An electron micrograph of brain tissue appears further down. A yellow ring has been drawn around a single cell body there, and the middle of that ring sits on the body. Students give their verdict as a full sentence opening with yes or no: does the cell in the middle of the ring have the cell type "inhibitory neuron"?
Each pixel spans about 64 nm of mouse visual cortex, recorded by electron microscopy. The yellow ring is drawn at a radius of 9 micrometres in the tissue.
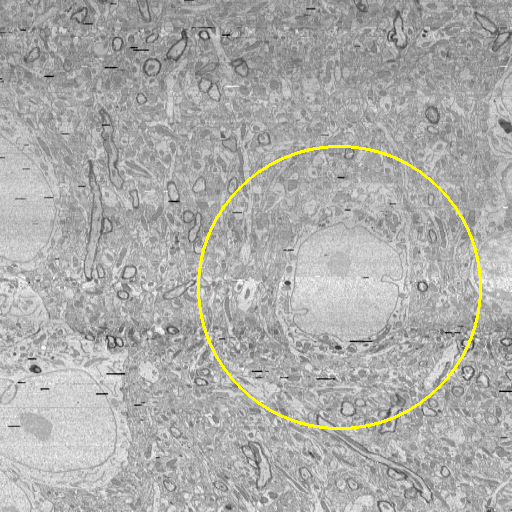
Yes, in this picture the cell sitting at the middle of the ring has that cell type.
